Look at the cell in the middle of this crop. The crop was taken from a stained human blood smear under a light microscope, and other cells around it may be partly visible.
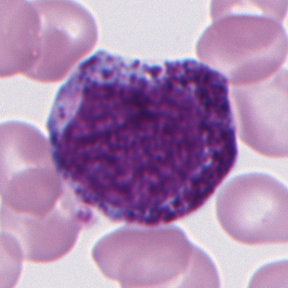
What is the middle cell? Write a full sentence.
The cell that lies at the centre of the crop is a promyelocyte.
